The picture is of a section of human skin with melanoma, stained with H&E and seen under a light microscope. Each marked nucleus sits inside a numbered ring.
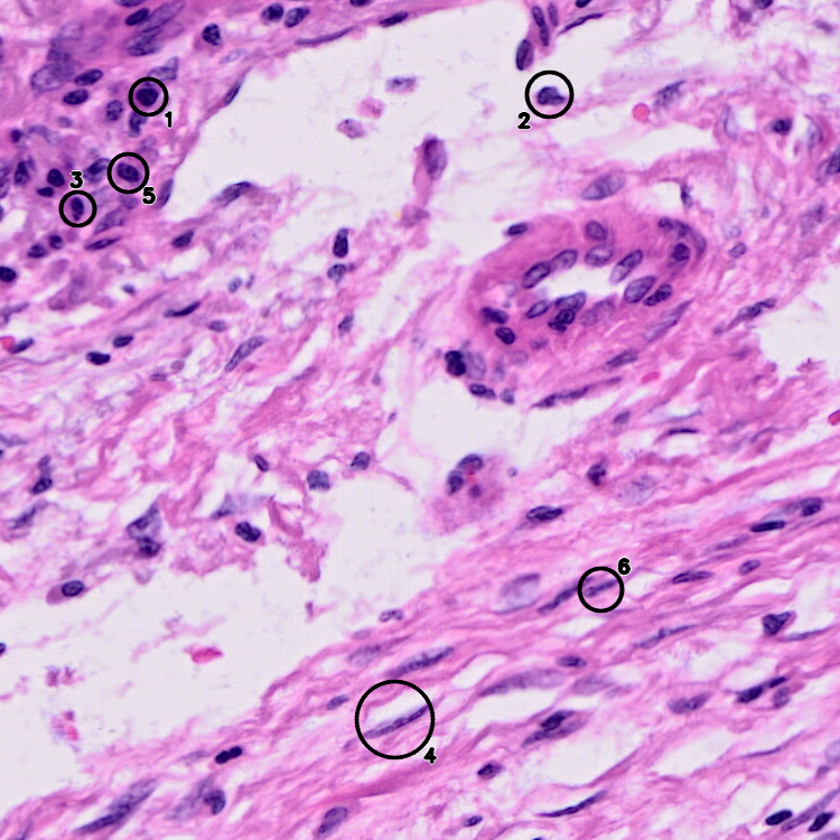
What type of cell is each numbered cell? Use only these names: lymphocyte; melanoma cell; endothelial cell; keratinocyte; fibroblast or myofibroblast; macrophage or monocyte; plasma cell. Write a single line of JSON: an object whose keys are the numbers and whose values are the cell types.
{"1": "plasma cell", "2": "lymphocyte", "3": "plasma cell", "4": "fibroblast or myofibroblast", "5": "plasma cell", "6": "fibroblast or myofibroblast"}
